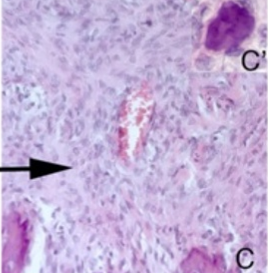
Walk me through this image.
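Highly cellular proliferating area of the growth, made of densely packed plump cells with oval nuclei. The cells lie closely crowded, with no clear boundaries between them, in a pale pink background. A small vessel with red blood cells runs through the centre of the field. Purple mineralized deposits show at the lower edge. An inset shows a rounded, deeply purple nodule of mineralized material.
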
